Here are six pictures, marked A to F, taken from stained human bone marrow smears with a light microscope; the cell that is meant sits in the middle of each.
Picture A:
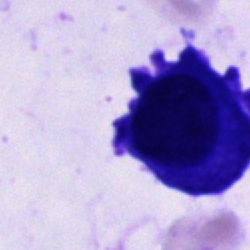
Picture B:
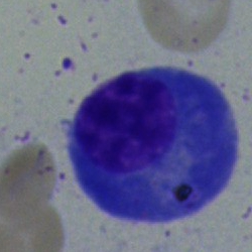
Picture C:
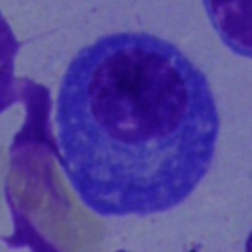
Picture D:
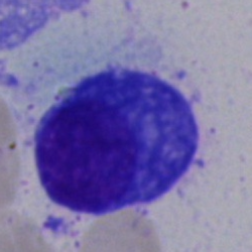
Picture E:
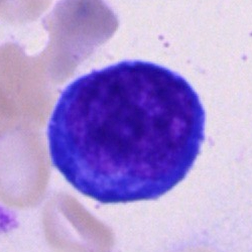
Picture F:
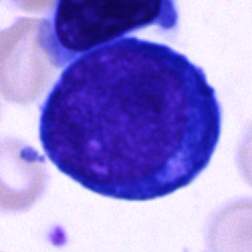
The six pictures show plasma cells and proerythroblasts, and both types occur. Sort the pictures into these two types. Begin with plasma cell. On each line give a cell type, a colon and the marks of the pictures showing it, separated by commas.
plasma cell: A, B, C, D
proerythroblast: E, F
